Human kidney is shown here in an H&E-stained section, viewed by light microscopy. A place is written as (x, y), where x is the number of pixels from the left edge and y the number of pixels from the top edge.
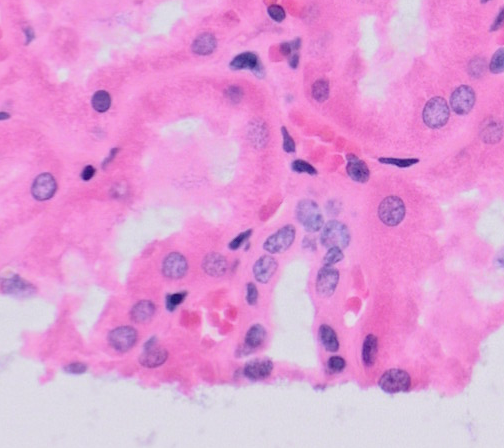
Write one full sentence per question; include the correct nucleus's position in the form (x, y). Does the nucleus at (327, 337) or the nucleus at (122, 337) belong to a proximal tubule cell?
Which one belongs to a proximal tubule cell? The nucleus at (122, 337) does.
